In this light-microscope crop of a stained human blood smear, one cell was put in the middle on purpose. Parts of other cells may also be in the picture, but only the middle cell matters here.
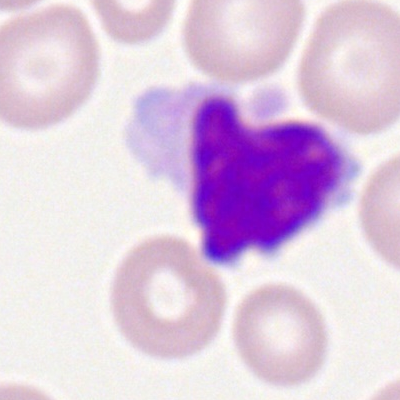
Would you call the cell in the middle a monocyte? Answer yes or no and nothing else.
no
